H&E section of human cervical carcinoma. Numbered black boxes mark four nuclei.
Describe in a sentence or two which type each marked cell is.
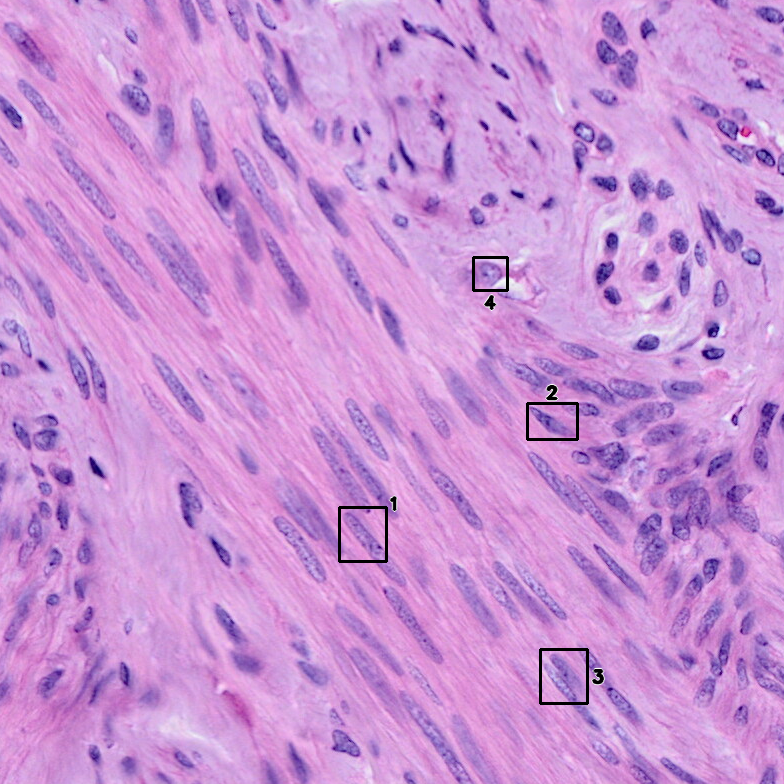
Cells 1, 2 and 3 are smooth muscle cells. Cell 4 is an endothelial cell.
